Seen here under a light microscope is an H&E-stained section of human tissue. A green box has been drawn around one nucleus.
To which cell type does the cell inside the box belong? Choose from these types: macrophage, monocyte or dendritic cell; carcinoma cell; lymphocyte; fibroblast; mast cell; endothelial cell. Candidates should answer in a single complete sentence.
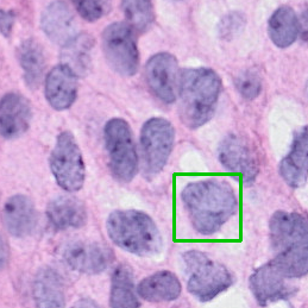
As to its cell type, the cell inside the box is a carcinoma cell.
